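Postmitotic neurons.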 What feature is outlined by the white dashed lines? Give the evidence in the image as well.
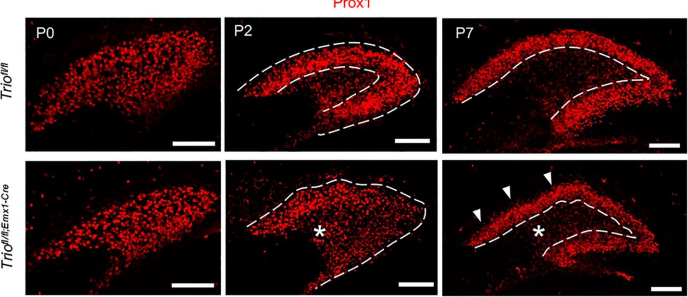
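The dashed lines trace the edges of a curved band of closely crowded red nuclei. On this evidence: densely packed cell bands.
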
